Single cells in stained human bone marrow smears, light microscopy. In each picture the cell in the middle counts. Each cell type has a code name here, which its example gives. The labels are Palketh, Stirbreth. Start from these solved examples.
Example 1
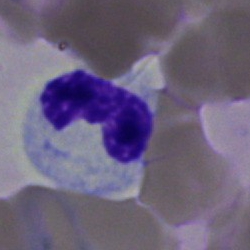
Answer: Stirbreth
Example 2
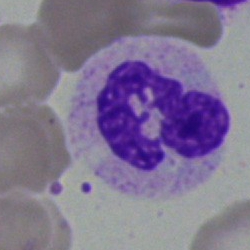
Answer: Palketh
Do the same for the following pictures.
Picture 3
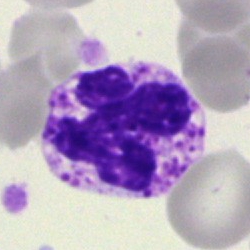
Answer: Palketh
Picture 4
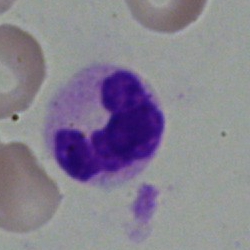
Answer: Stirbreth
